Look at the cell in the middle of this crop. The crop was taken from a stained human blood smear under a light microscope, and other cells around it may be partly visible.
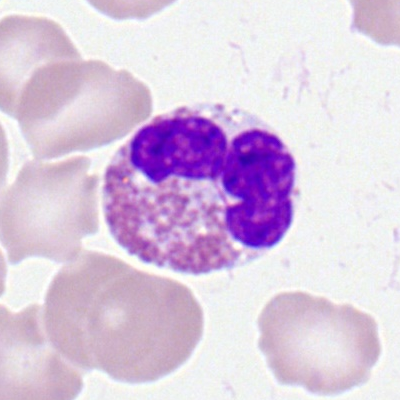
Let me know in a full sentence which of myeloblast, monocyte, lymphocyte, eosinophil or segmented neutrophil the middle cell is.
The cell of interest, located centrally, is an eosinophil.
